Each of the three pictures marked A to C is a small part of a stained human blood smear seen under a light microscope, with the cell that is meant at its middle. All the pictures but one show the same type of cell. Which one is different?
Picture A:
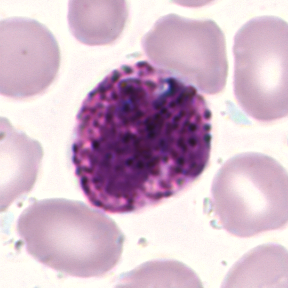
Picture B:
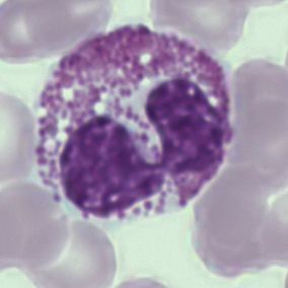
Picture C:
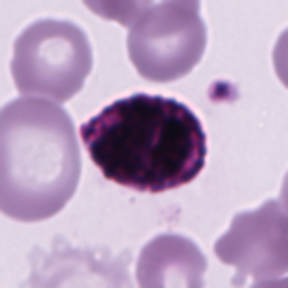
B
